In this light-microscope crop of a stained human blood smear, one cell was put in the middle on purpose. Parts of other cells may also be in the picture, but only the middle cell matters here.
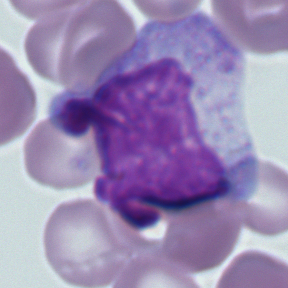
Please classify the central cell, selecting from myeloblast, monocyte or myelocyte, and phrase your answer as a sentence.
The cell featured at the centre of this crop is a myelocyte.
